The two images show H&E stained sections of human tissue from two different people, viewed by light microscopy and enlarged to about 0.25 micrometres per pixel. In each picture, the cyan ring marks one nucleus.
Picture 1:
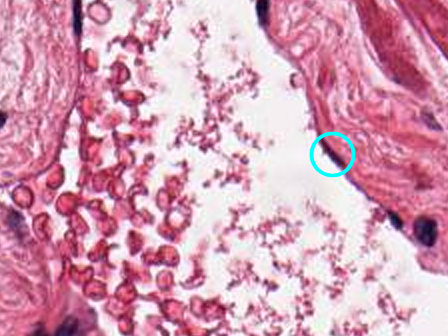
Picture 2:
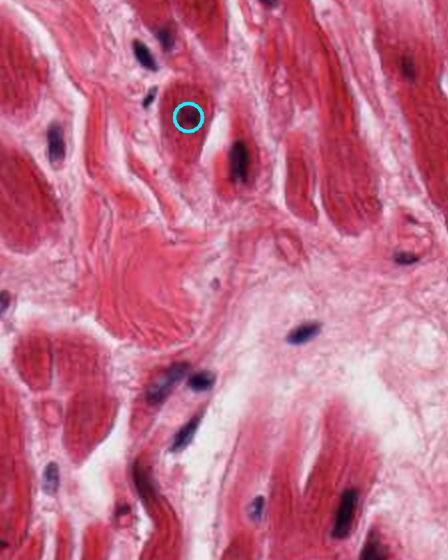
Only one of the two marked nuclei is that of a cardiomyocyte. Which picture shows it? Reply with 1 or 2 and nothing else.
2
